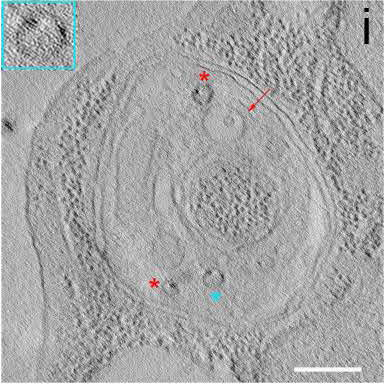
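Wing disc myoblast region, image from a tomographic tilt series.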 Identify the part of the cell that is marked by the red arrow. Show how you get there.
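The arrow points to a membrane-bound round compartment. A smaller round profile lies inside it. So: a membranous compartment containing a smaller vesicle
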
